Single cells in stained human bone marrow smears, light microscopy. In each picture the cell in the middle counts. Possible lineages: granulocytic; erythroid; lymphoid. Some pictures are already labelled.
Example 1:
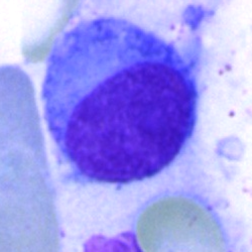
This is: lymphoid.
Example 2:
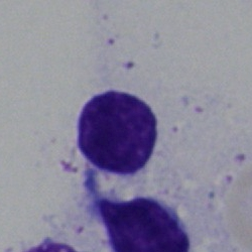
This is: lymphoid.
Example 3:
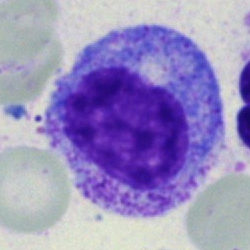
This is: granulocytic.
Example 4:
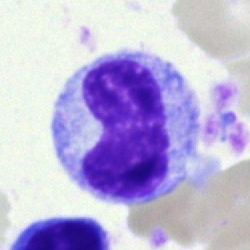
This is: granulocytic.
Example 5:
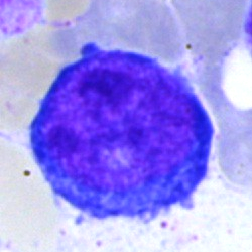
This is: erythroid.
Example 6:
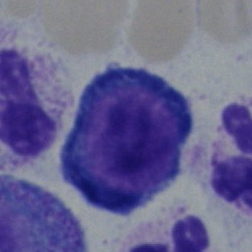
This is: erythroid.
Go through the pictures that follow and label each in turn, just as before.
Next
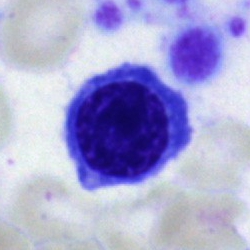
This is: erythroid.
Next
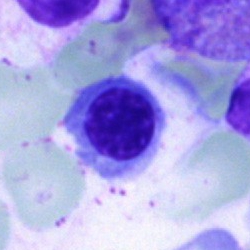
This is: erythroid.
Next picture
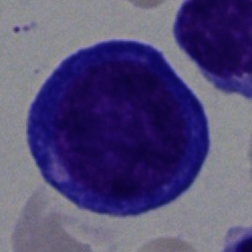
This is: erythroid.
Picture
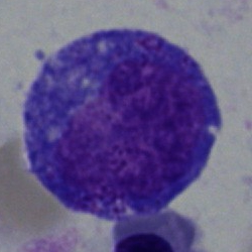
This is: erythroid.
